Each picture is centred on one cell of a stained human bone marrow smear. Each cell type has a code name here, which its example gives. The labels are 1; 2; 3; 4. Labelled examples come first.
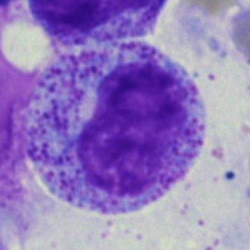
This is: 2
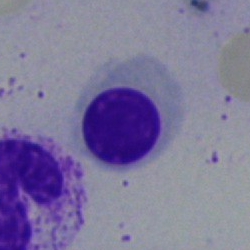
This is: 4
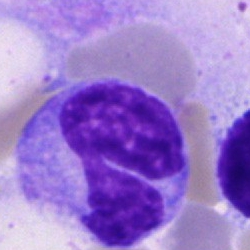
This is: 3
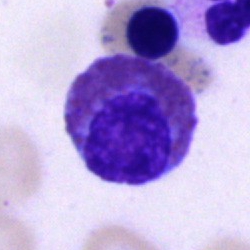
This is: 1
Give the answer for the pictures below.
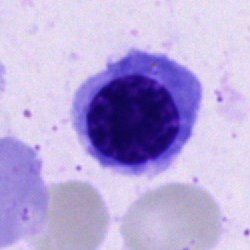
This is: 4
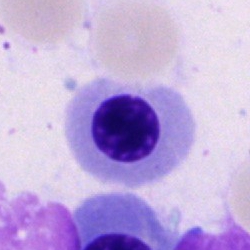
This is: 4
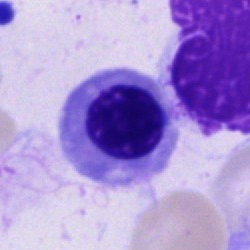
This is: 4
